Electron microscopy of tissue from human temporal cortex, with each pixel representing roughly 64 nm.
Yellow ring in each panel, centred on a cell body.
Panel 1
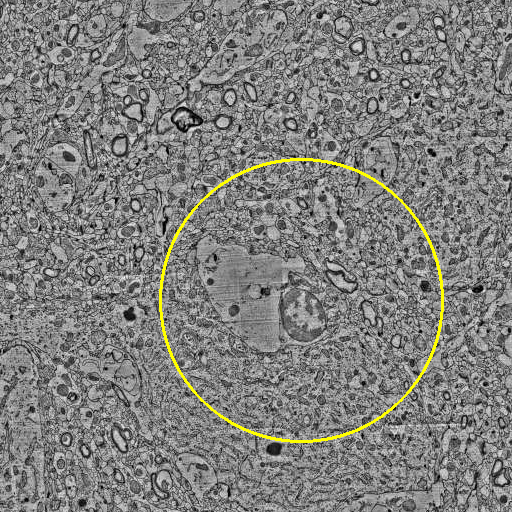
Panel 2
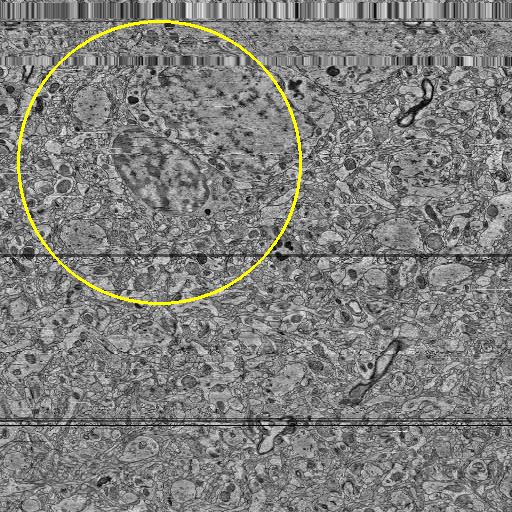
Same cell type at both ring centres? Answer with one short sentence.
No, the two cells are of two types.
